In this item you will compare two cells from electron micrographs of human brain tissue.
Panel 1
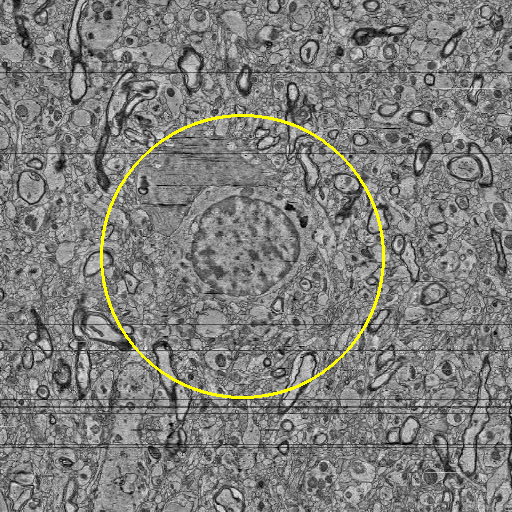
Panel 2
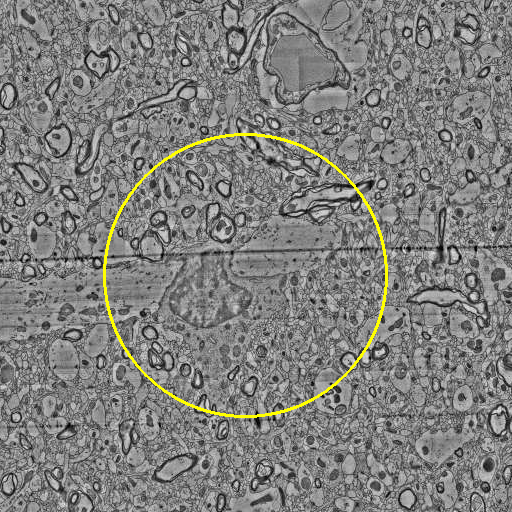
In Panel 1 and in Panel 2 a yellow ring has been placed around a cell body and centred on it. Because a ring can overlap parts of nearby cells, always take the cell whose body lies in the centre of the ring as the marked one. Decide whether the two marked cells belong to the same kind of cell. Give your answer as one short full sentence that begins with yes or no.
Yes, the two marked cells belong to the same kind of cell.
